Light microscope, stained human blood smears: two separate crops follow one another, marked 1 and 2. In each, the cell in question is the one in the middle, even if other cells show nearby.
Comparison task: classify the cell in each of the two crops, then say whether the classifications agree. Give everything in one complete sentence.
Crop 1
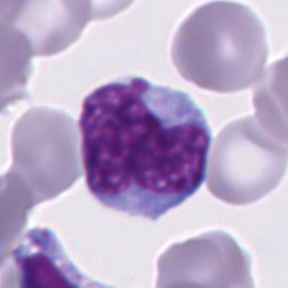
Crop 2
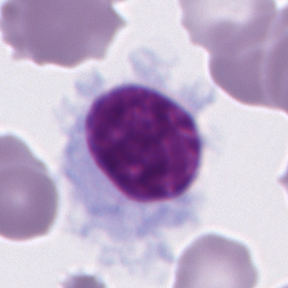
No, crop 1 is to be identified as a typical lymphocyte and crop 2 as a hairy cell.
